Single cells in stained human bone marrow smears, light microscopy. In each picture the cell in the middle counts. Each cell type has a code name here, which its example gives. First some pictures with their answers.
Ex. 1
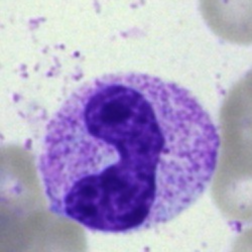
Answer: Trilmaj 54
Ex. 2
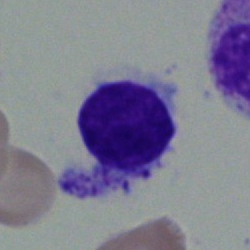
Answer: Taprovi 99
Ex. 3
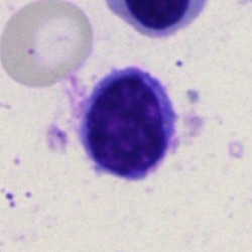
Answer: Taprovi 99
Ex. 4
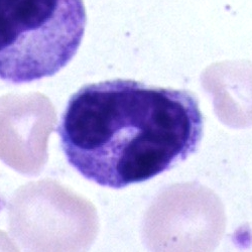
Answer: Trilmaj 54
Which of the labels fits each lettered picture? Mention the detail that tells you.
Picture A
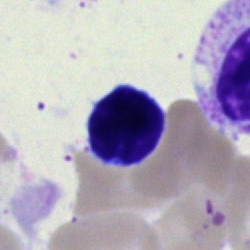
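Taprovi 99. Reason: The nucleus fills almost the whole cell.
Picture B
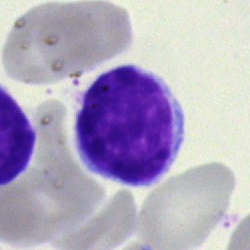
Taprovi 99. Reason: The cytoplasm is scant, showing as a thin rim mostly on the right side.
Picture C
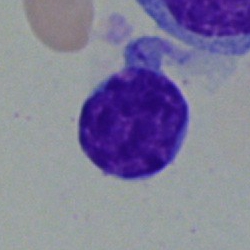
Taprovi 99. Reason: Only a very scant rim of cytoplasm is visible around the nucleus.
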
